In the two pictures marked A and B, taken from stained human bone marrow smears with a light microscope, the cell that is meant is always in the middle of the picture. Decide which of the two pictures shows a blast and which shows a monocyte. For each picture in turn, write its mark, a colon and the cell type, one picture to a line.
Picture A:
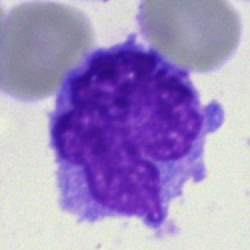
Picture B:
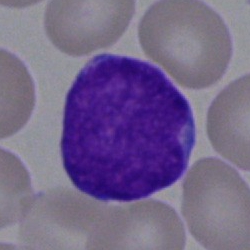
A: monocyte
B: blast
